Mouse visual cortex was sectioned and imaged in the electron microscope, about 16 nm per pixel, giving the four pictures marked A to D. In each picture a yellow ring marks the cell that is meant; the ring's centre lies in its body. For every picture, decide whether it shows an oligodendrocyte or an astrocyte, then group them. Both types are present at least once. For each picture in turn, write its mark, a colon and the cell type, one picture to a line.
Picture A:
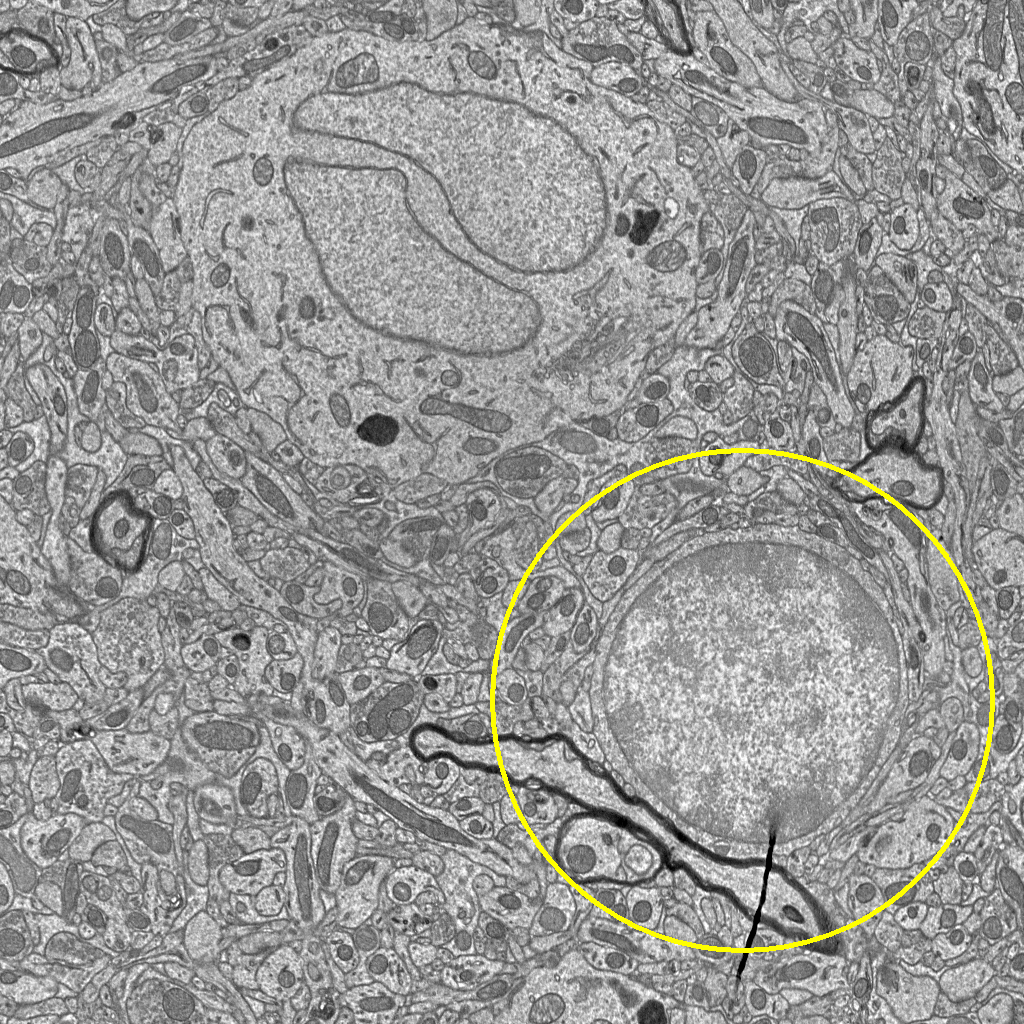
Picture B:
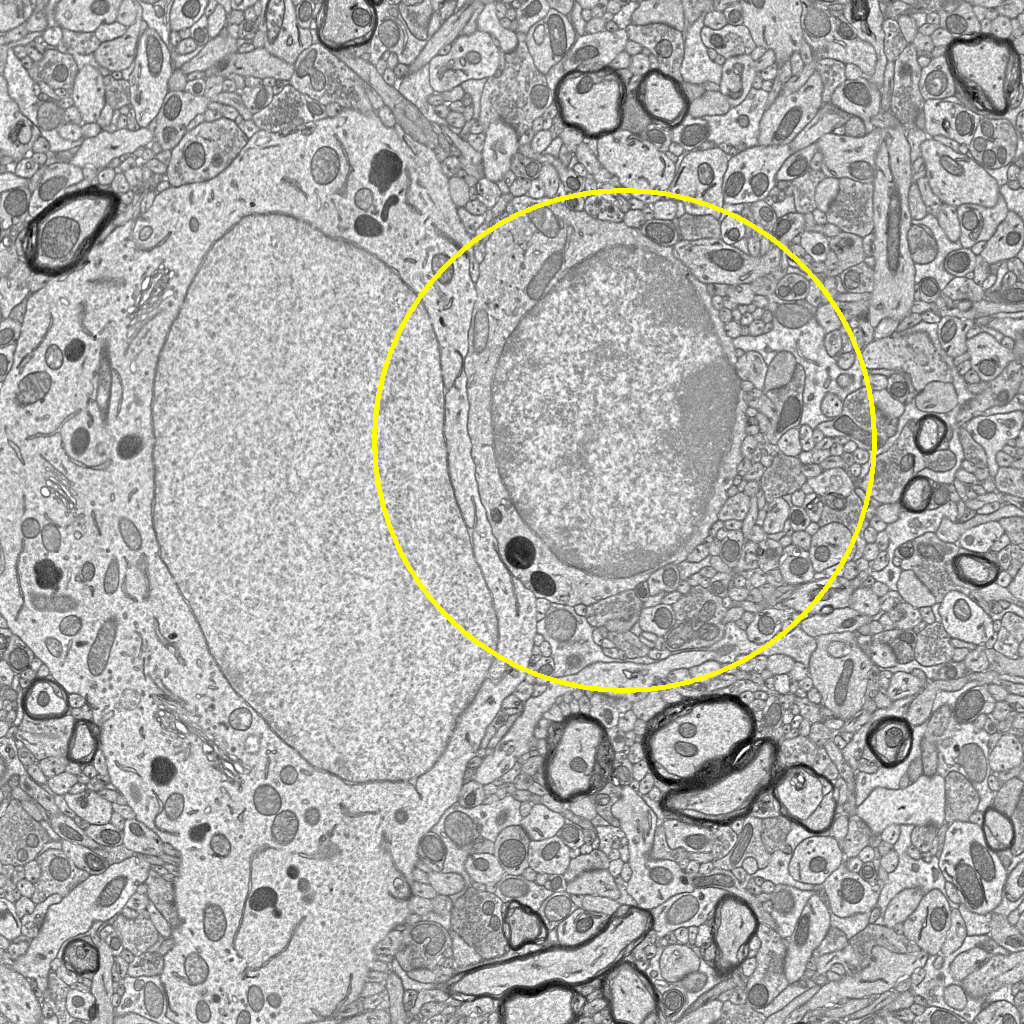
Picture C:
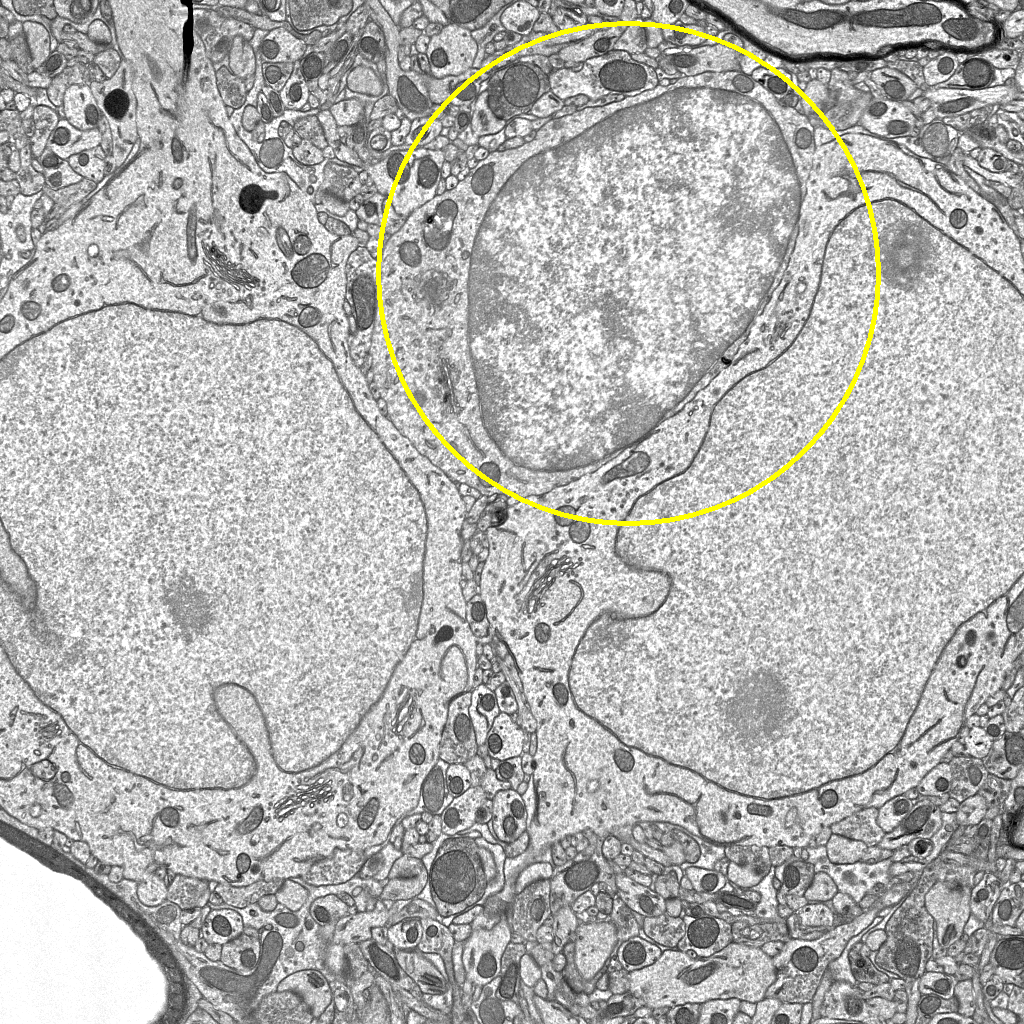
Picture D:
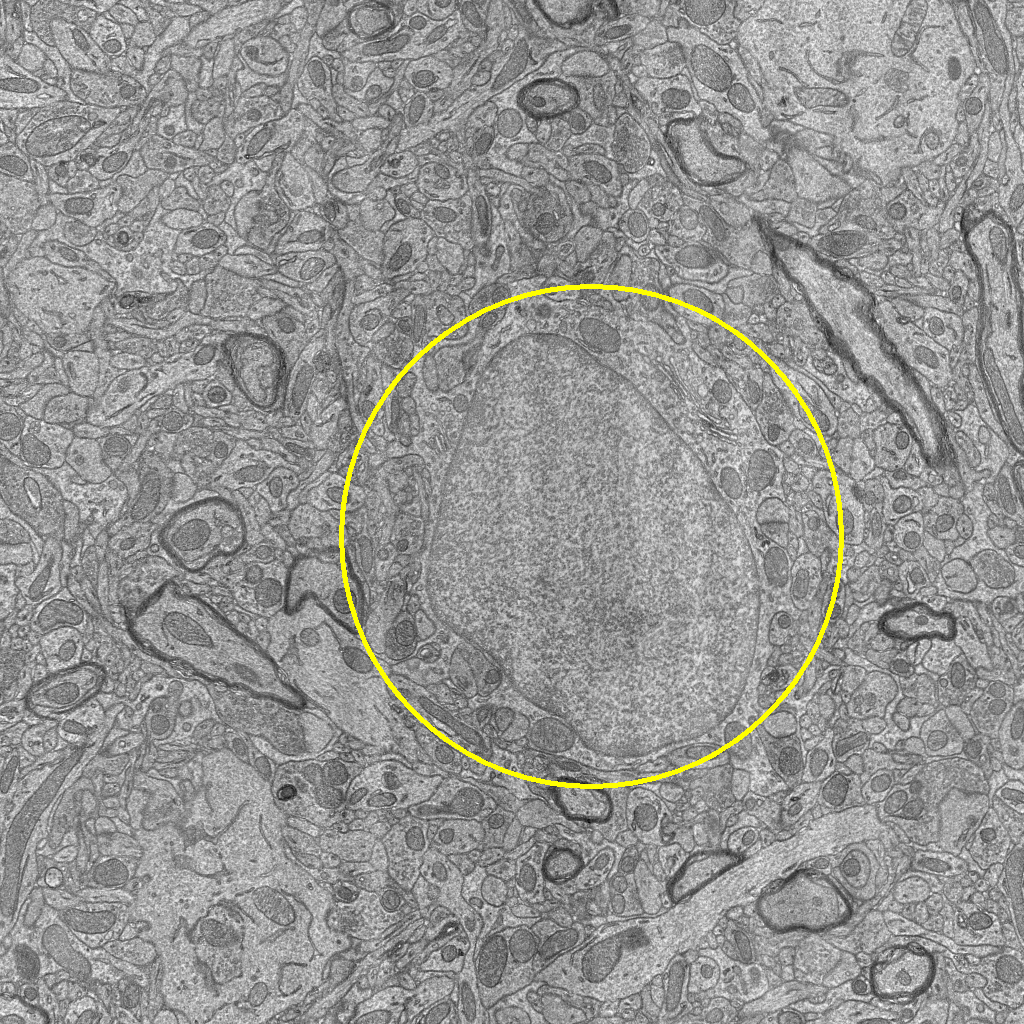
A: oligodendrocyte
B: oligodendrocyte
C: oligodendrocyte
D: astrocyte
